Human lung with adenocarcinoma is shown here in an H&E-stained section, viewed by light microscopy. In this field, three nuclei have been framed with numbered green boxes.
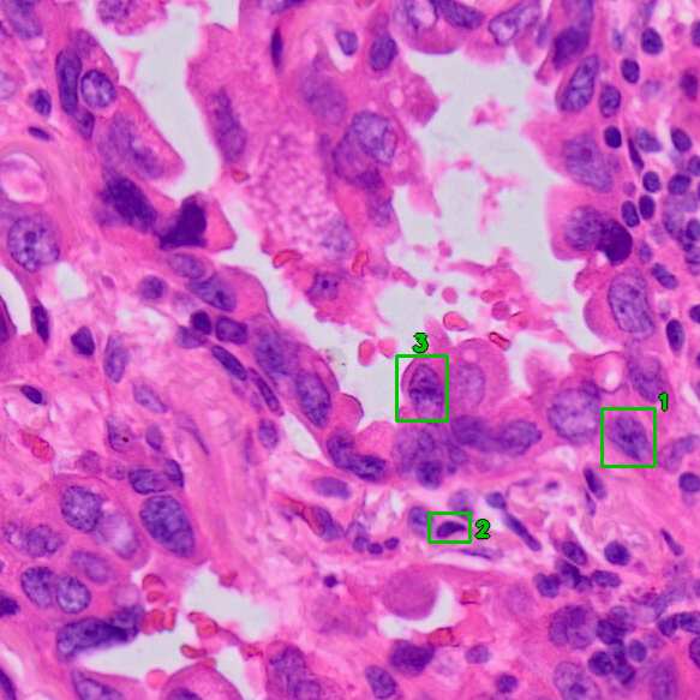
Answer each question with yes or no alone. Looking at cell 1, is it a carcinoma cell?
yes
